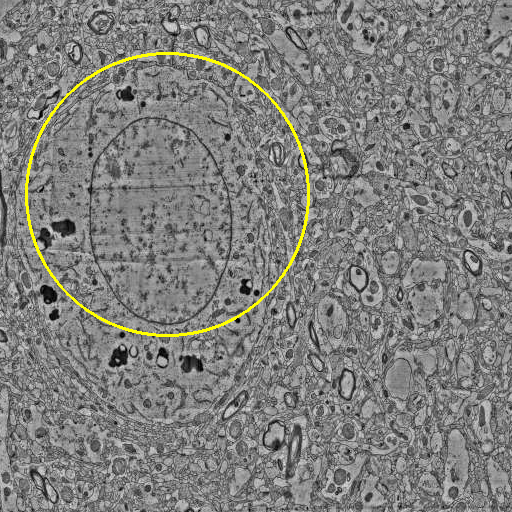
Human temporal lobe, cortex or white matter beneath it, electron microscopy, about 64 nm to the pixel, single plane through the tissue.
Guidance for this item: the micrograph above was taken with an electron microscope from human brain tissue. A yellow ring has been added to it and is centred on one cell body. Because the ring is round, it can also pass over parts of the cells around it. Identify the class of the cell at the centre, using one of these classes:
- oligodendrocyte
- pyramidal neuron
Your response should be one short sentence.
The ring surrounds the body of a pyramidal neuron.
